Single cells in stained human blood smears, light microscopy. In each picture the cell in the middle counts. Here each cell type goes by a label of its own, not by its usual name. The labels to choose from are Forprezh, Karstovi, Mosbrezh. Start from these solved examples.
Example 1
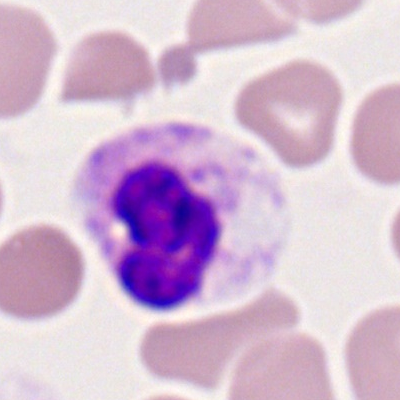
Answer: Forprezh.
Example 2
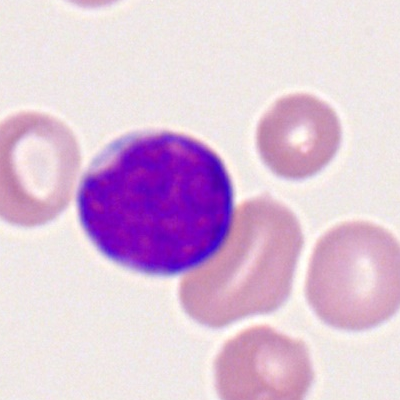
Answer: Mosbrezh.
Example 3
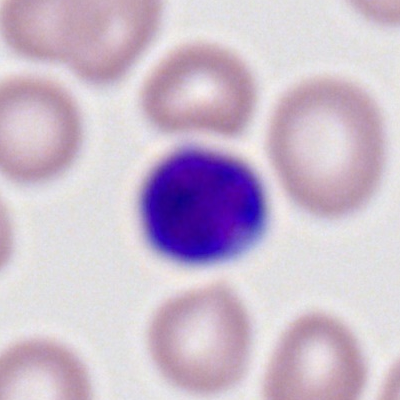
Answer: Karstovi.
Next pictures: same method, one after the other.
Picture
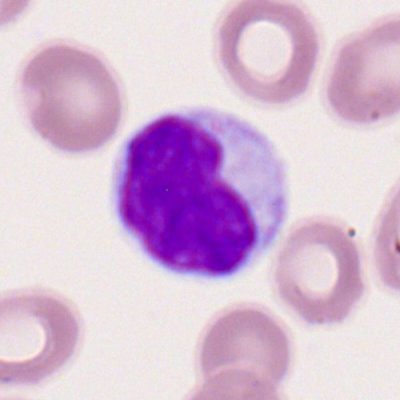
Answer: Karstovi.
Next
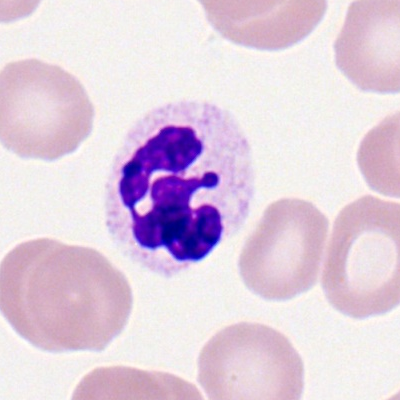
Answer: Forprezh.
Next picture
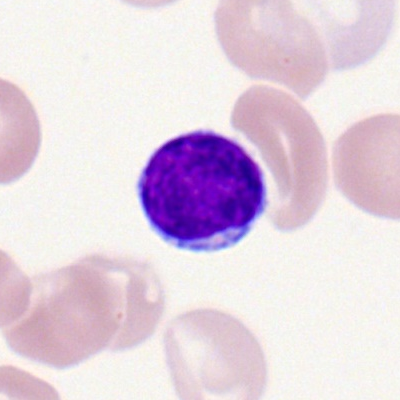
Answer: Karstovi.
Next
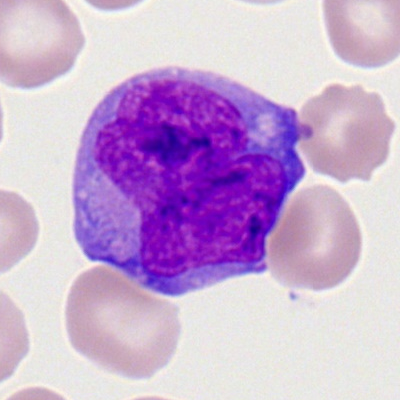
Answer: Mosbrezh.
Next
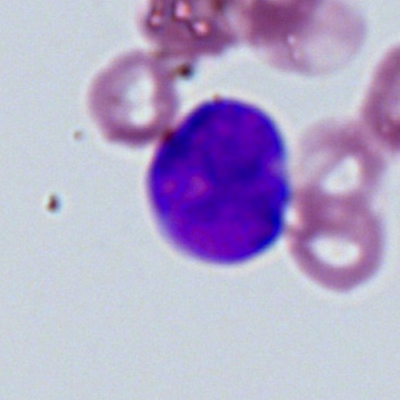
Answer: Mosbrezh.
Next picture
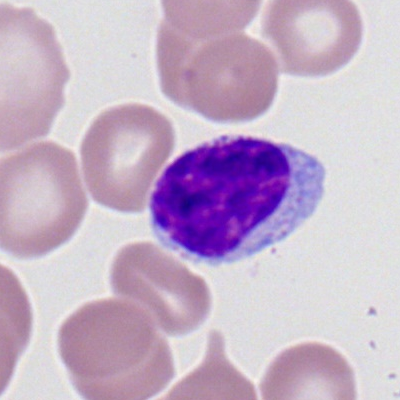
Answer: Karstovi.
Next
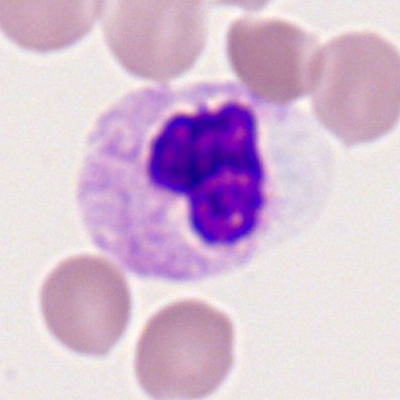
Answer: Forprezh.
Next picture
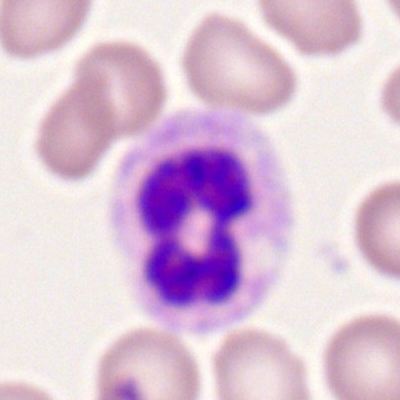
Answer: Forprezh.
